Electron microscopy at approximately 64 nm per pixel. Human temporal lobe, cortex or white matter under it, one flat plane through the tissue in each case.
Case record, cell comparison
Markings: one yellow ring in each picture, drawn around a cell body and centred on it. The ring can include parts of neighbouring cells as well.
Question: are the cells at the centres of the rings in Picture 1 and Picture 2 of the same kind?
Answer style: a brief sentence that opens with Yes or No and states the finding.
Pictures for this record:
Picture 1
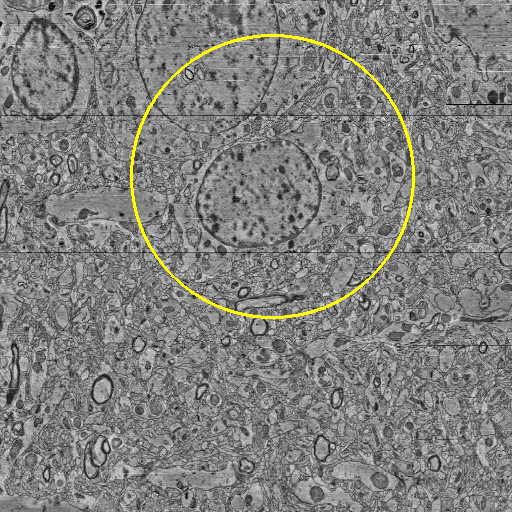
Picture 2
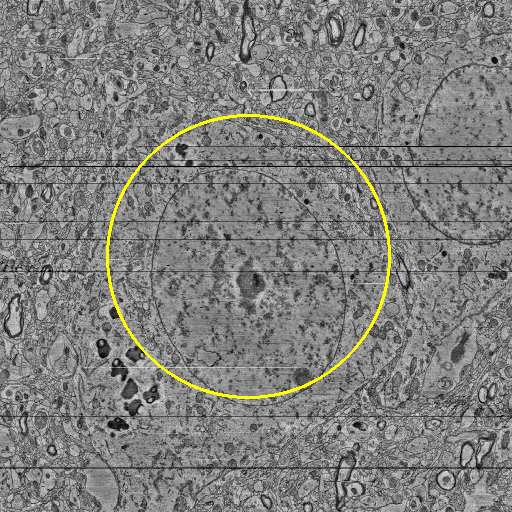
No, the cells in Picture 1 and Picture 2 are of two kinds.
